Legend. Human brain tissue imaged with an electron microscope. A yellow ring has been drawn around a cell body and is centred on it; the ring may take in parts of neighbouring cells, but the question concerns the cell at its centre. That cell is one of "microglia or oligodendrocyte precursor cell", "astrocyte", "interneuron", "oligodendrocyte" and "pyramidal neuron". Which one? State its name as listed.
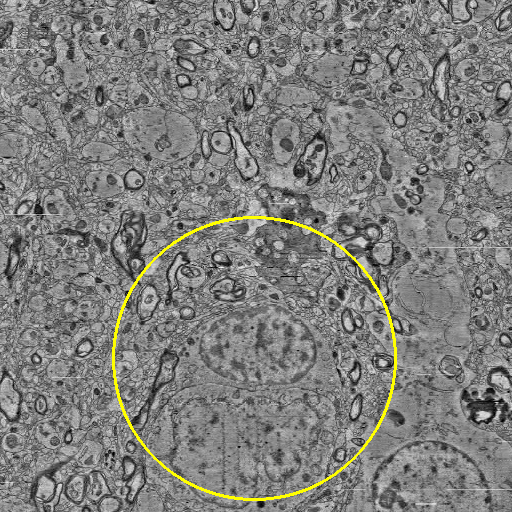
oligodendrocyte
